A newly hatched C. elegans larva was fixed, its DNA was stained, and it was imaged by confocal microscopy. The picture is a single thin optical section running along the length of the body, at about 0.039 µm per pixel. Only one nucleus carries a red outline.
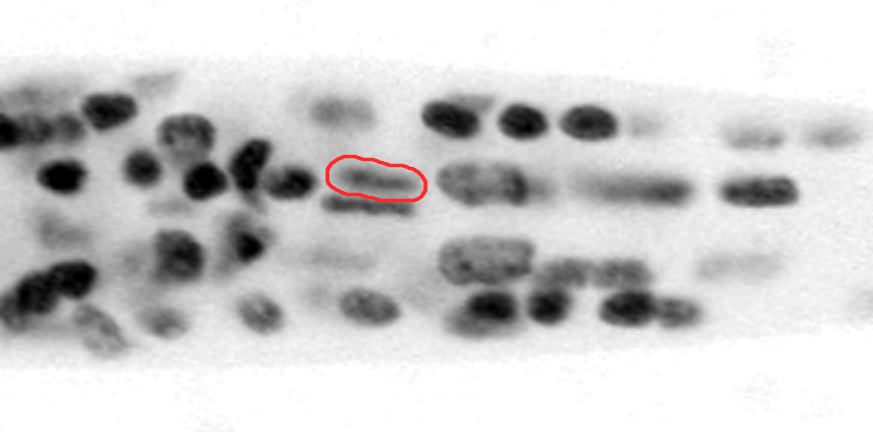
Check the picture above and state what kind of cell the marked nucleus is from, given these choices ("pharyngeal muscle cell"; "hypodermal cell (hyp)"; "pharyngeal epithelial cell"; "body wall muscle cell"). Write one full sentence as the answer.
The marked nucleus belongs to a pharyngeal epithelial cell.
